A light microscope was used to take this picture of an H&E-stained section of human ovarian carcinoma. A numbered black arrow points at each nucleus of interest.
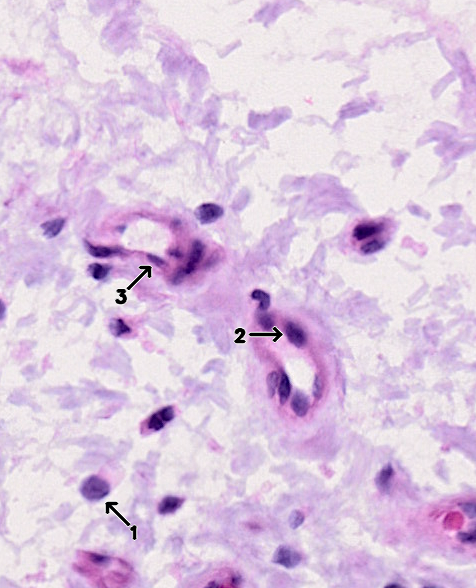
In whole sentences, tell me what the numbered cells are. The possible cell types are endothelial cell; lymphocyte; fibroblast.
Cell 1 is a fibroblast, cell 2 is an endothelial cell and cell 3 is an endothelial cell.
